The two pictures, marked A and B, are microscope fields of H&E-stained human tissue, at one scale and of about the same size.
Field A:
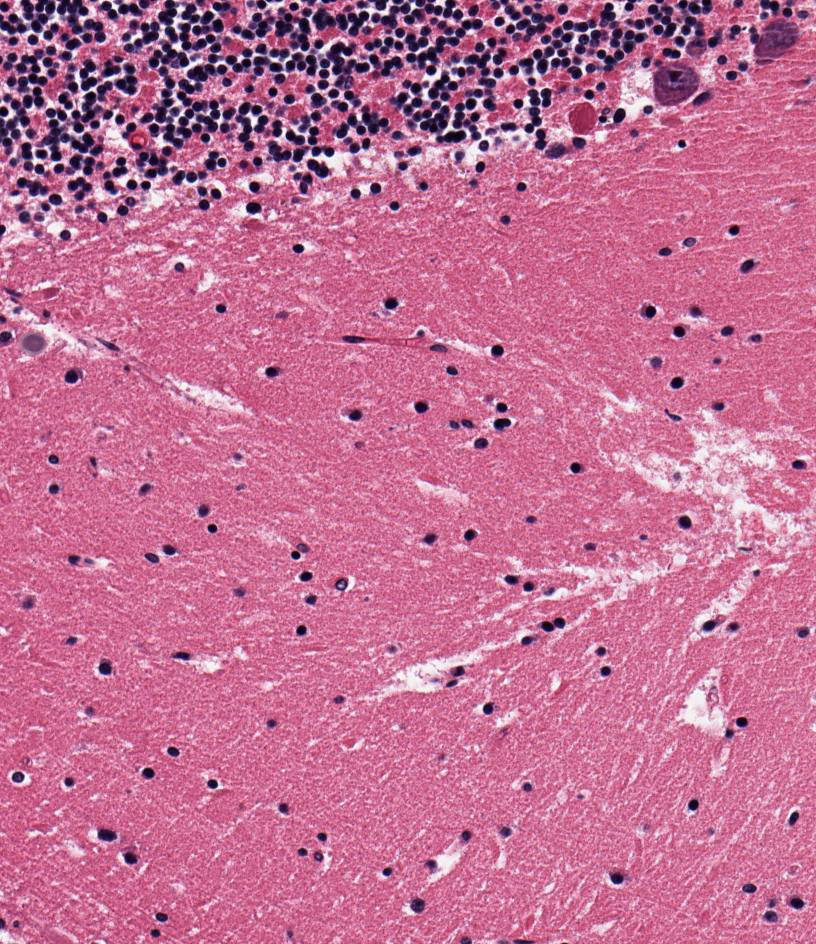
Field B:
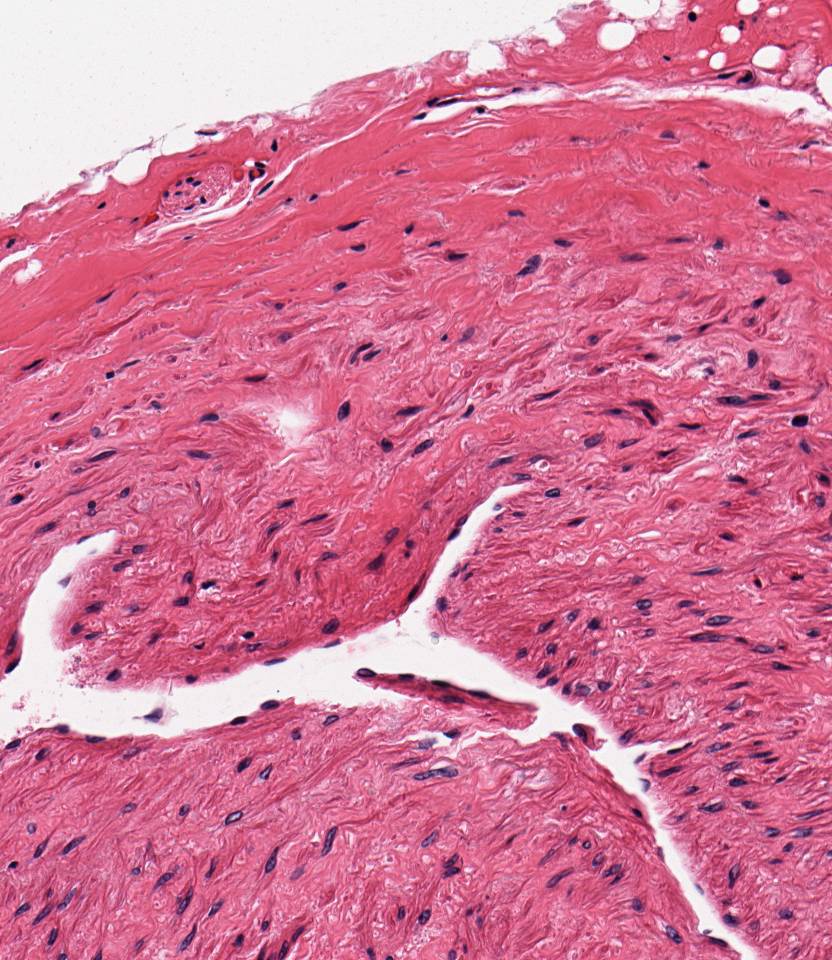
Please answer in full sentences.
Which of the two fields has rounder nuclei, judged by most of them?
Rounder nuclei lie in field A.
